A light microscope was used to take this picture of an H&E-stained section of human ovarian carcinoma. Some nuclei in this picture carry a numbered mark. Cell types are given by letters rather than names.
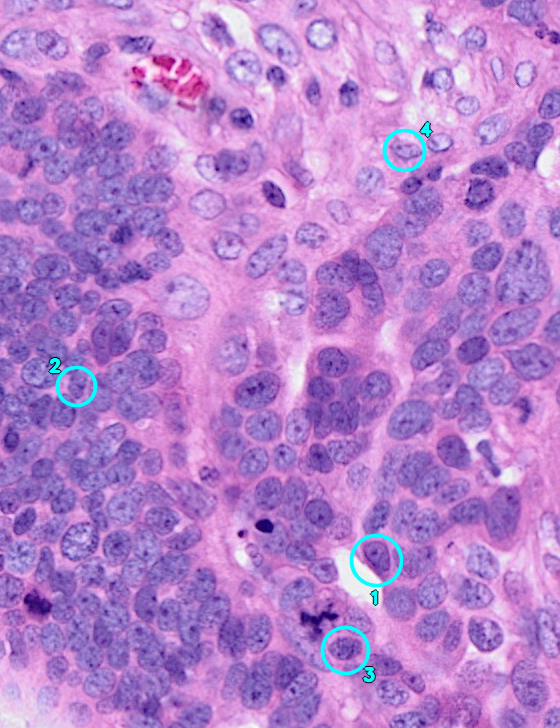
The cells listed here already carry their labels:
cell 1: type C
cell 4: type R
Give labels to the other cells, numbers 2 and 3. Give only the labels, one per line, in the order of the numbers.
type C
type C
